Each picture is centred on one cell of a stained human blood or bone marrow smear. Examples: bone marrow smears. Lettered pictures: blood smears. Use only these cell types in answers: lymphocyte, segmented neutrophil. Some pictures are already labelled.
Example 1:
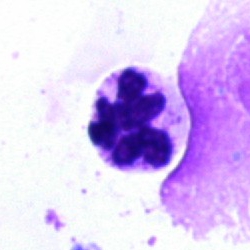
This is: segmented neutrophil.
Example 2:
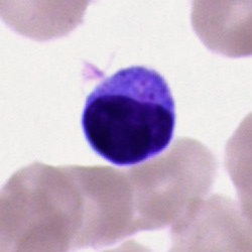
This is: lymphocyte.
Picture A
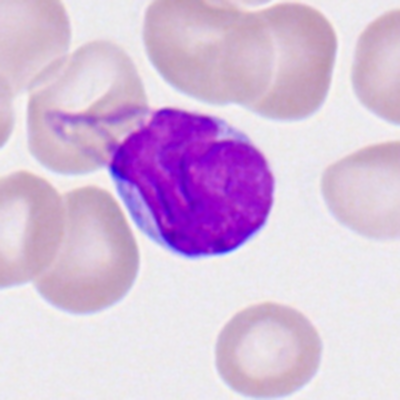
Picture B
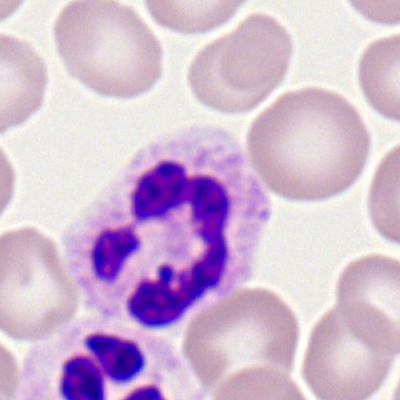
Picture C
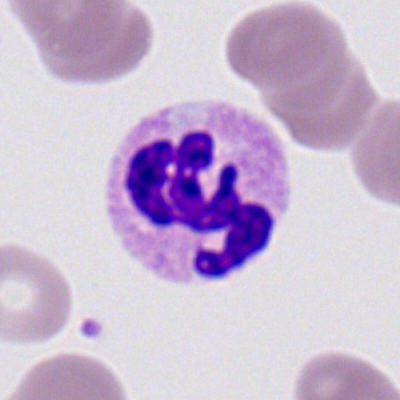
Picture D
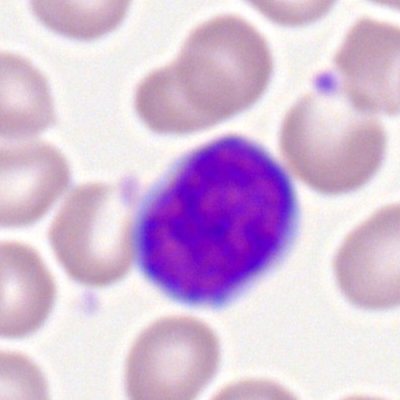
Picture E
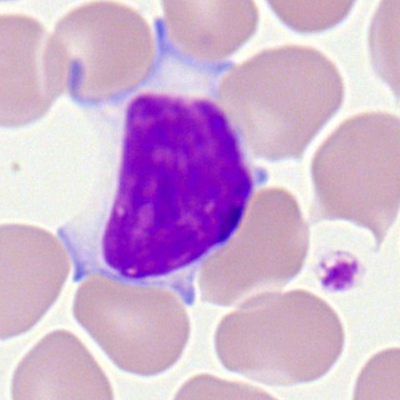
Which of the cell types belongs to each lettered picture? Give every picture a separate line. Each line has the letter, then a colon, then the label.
A: lymphocyte.
B: segmented neutrophil.
C: segmented neutrophil.
D: lymphocyte.
E: lymphocyte.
